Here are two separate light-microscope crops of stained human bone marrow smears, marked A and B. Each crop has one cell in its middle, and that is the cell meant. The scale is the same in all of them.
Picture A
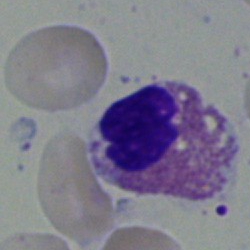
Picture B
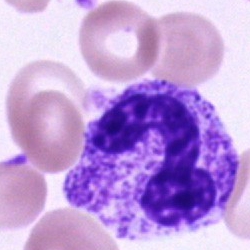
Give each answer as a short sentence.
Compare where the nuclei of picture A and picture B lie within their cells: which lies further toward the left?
Seen within its cell, the nucleus in picture A lies further toward the left.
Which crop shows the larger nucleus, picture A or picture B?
It is the nucleus in picture B, about 2 times as large in area as the one in picture A.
